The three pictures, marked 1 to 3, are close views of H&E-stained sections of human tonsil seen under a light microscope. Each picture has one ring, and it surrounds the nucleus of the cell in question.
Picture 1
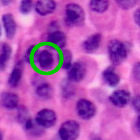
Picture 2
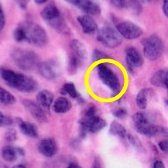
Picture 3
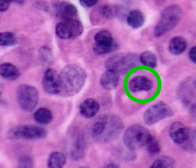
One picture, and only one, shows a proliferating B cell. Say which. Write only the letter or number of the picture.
2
